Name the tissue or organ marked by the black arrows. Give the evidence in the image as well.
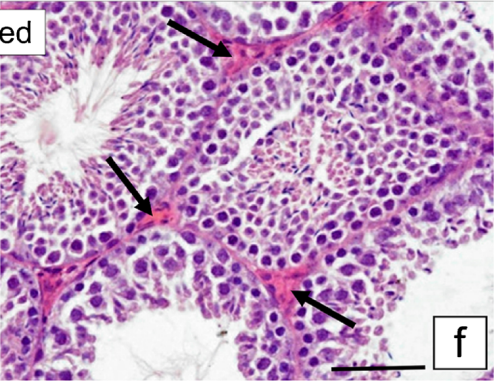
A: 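The arrows point to pink-staining areas where three tubules meet. These areas lie outside the tubule walls and contain scattered cells. The answer: interstitial tissue.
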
